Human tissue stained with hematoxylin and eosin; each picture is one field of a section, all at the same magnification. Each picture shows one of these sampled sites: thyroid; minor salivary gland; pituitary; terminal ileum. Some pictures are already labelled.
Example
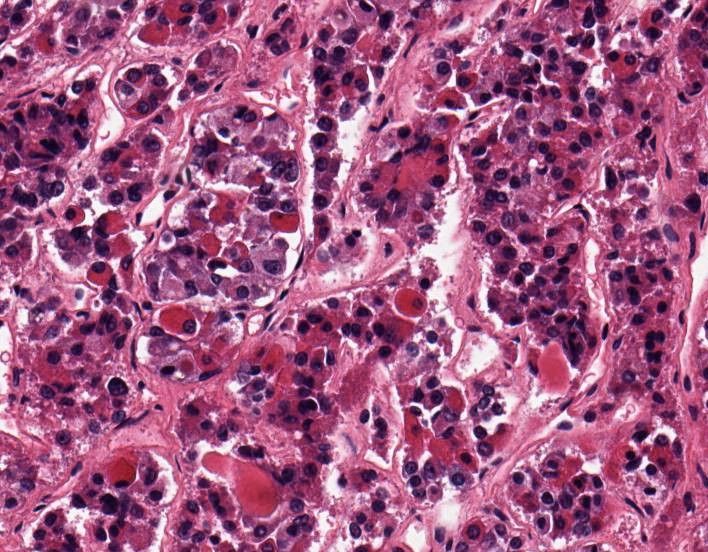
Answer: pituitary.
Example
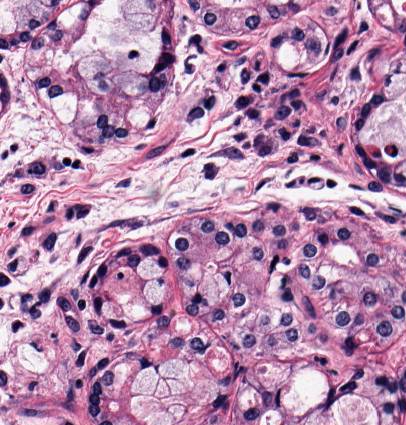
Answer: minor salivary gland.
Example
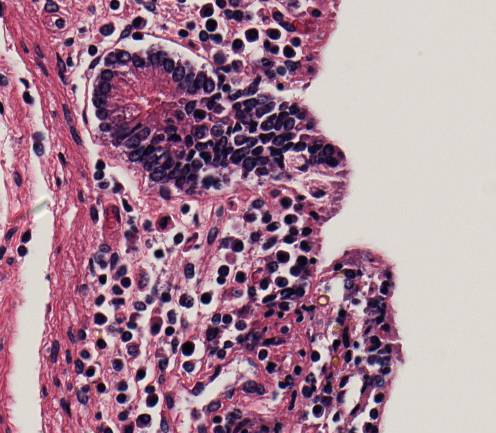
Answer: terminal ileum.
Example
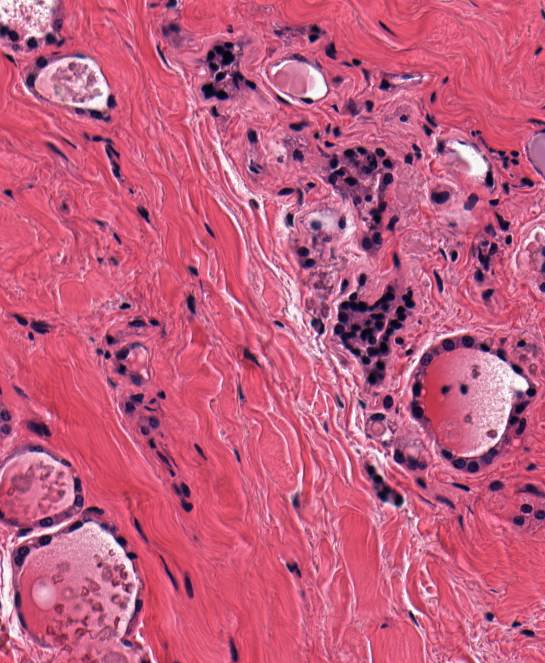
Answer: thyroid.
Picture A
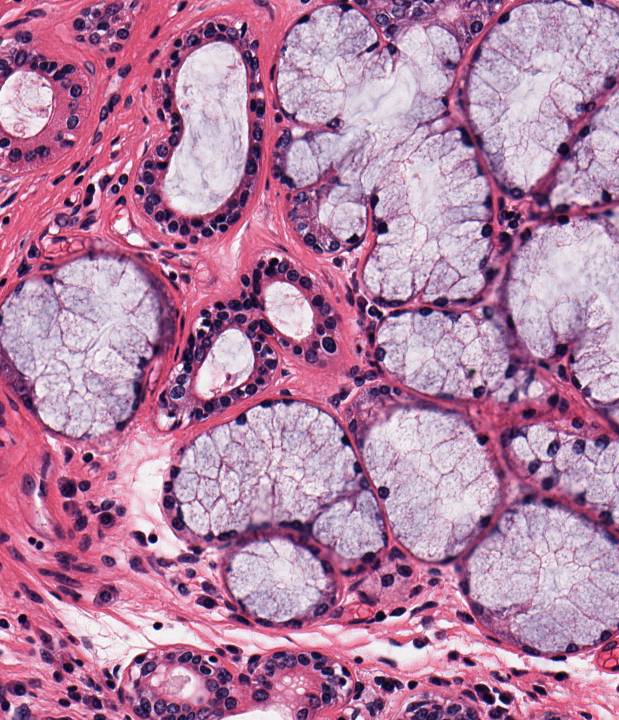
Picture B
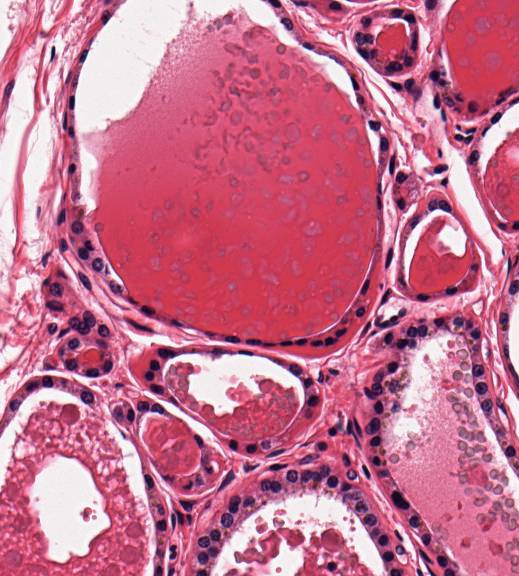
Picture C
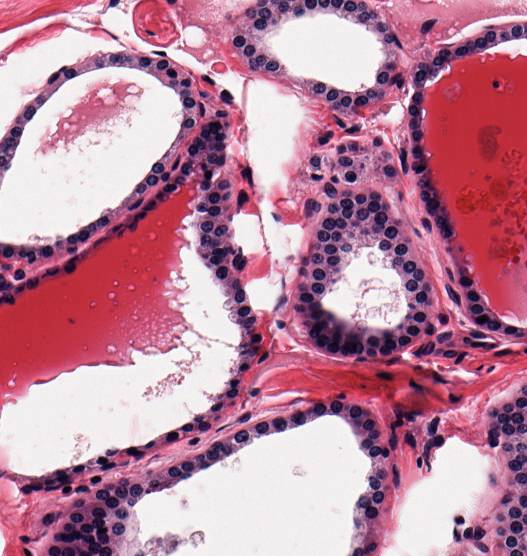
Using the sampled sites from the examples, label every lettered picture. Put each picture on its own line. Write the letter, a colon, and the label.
A: minor salivary gland.
B: thyroid.
C: thyroid.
